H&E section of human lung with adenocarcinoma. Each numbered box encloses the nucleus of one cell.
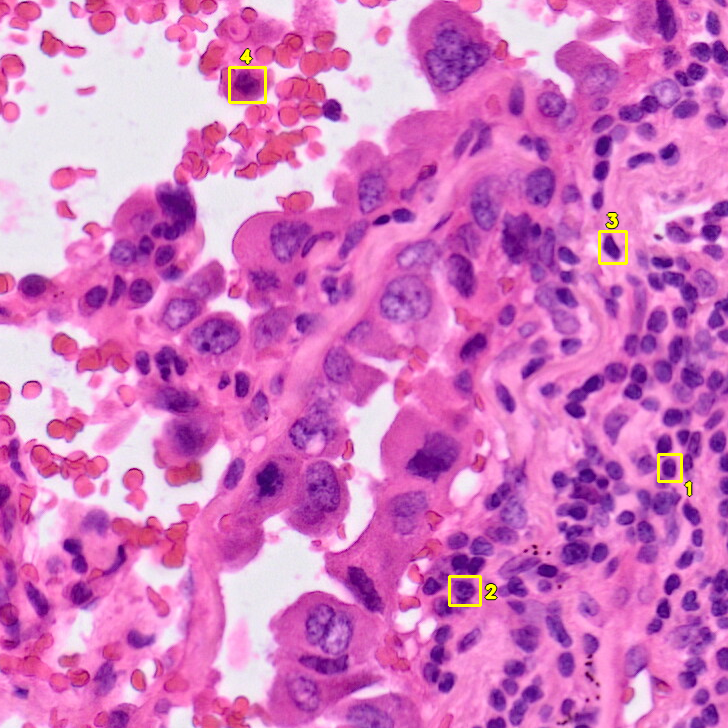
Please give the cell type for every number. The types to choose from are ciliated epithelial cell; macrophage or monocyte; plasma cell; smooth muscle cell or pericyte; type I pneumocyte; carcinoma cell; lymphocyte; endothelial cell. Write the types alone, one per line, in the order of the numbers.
lymphocyte
lymphocyte
lymphocyte
macrophage or monocyte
